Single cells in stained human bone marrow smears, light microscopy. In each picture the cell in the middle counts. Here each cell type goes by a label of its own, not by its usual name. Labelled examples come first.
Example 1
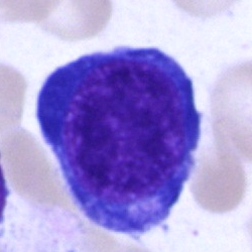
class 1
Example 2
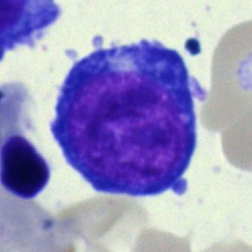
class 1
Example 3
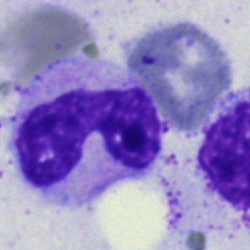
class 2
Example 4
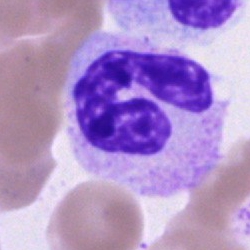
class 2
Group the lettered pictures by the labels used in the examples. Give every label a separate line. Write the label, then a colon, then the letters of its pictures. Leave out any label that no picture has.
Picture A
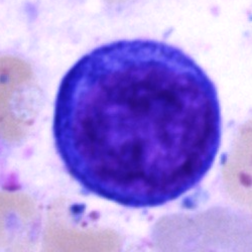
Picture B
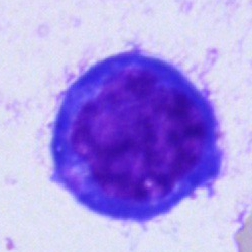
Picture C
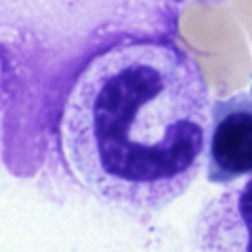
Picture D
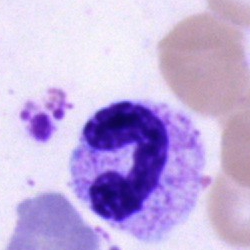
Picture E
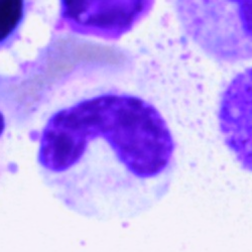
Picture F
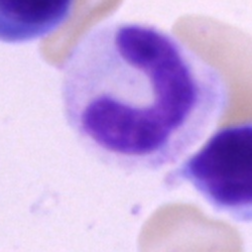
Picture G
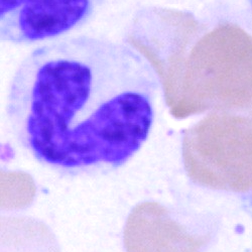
class 1: A, B
class 2: C, D, E, F, G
